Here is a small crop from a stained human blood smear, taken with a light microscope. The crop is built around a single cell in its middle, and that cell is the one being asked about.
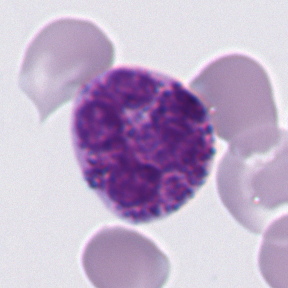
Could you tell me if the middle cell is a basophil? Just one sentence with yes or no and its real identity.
Yes, the cell that the crop is centred on is a basophil.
